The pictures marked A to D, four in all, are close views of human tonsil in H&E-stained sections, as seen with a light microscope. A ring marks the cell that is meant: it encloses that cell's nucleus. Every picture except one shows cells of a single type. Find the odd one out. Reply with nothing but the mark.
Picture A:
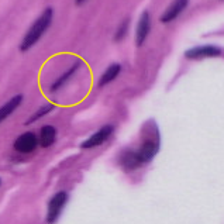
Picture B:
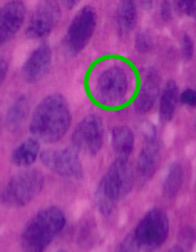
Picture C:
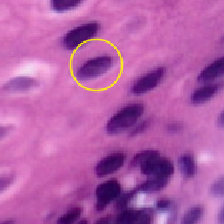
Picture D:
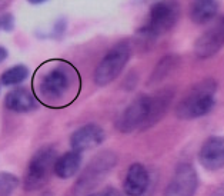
D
